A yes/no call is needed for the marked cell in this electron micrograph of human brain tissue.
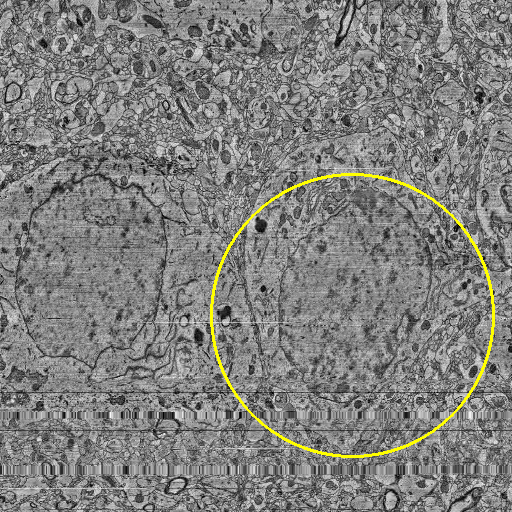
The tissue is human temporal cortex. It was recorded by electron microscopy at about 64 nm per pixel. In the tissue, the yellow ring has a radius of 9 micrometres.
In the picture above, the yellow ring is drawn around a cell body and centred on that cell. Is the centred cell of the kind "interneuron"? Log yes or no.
yes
